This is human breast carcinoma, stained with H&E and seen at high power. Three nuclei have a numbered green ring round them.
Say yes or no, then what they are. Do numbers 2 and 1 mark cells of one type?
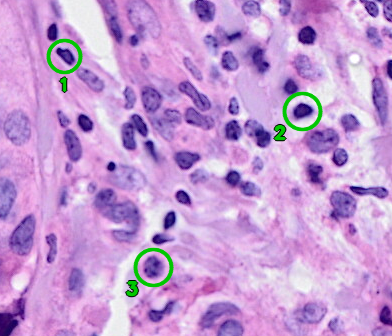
Yes, both are lymphocytes.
